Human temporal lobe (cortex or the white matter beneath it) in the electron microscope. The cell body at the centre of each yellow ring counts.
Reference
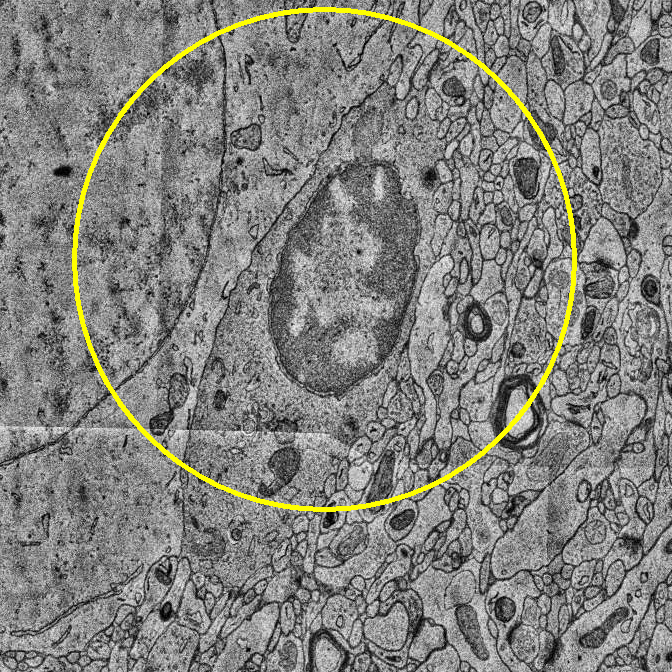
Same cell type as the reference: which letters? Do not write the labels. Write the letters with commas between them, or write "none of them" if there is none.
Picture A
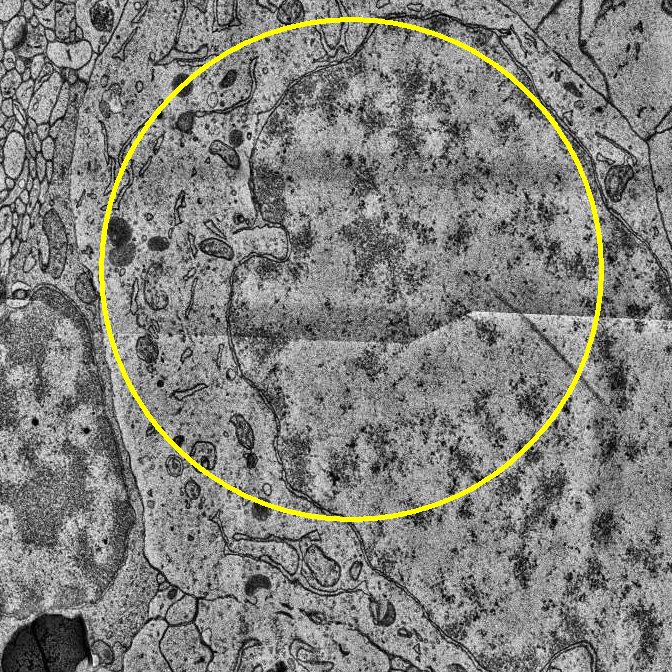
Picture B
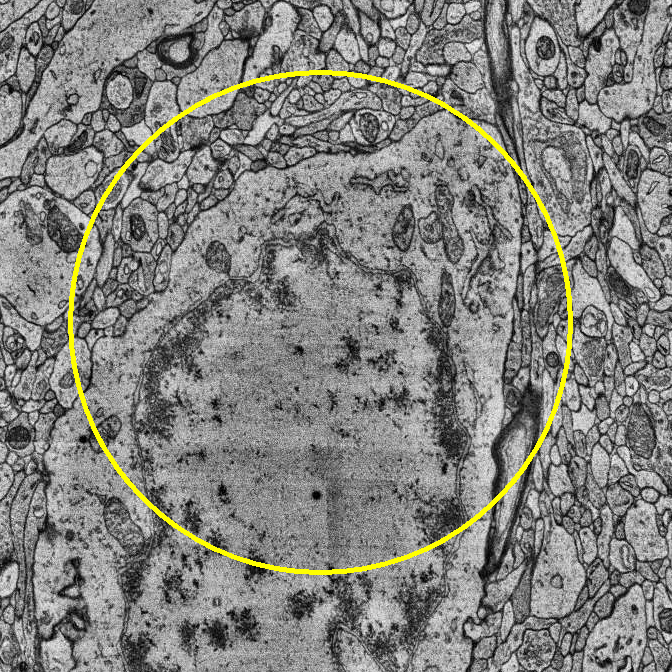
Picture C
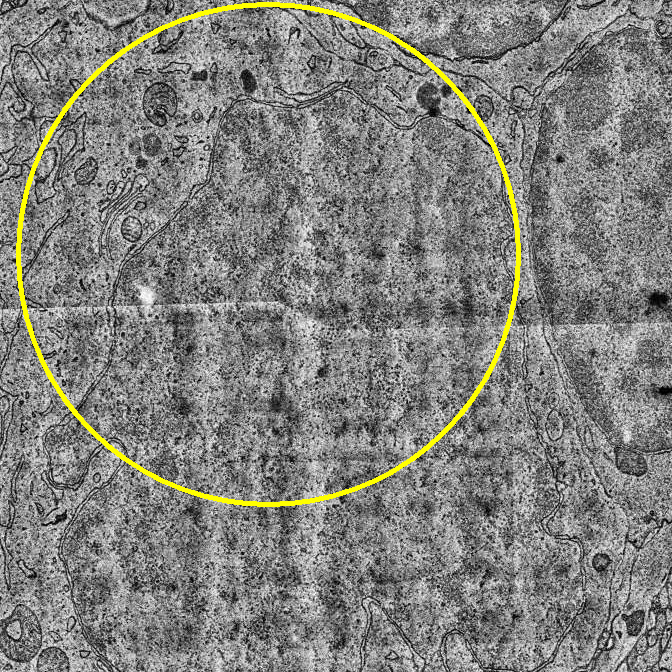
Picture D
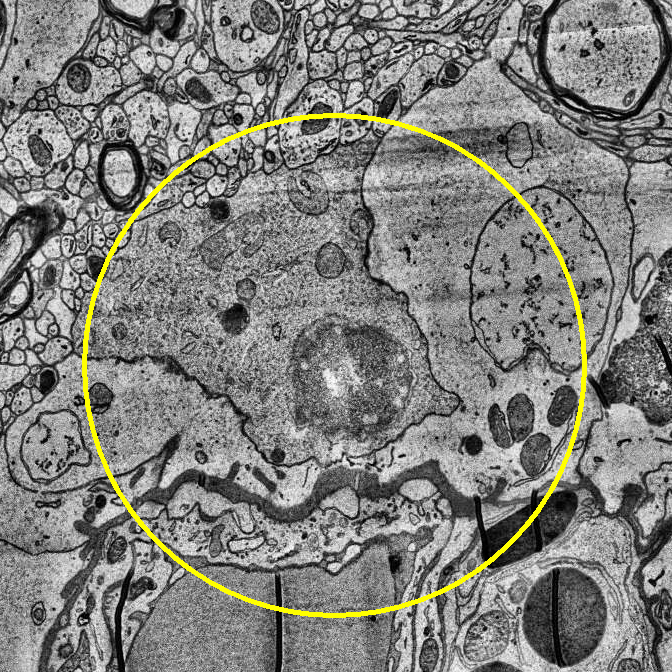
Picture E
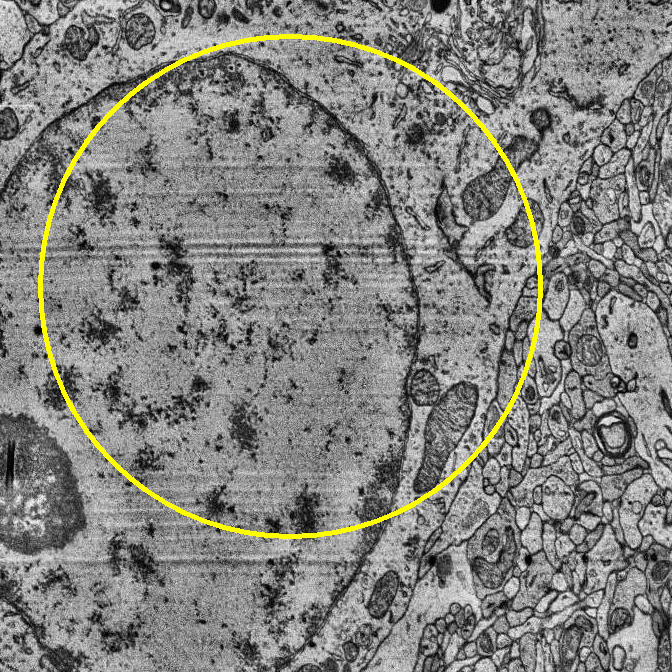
D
